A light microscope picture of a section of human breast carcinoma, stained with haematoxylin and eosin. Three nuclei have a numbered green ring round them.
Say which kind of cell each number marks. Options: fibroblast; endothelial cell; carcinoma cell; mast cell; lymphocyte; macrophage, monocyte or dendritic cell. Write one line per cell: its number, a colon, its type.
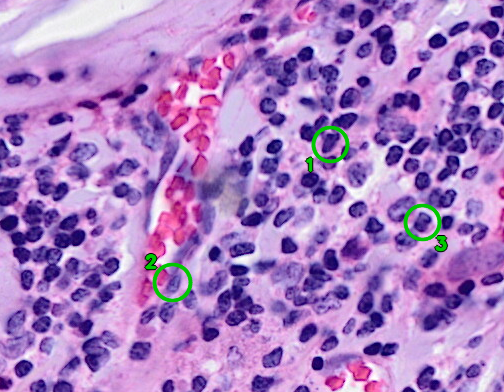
1: lymphocyte
2: endothelial cell
3: lymphocyte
